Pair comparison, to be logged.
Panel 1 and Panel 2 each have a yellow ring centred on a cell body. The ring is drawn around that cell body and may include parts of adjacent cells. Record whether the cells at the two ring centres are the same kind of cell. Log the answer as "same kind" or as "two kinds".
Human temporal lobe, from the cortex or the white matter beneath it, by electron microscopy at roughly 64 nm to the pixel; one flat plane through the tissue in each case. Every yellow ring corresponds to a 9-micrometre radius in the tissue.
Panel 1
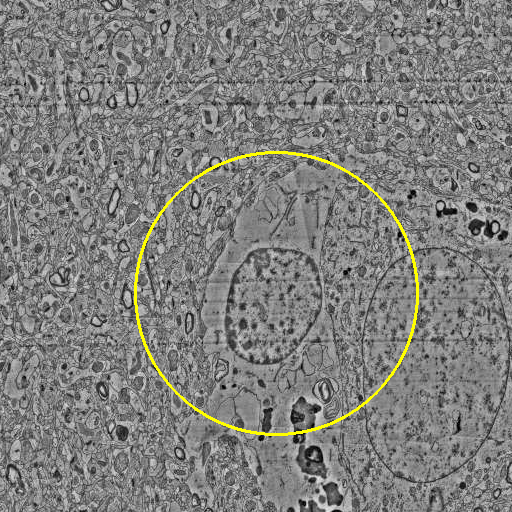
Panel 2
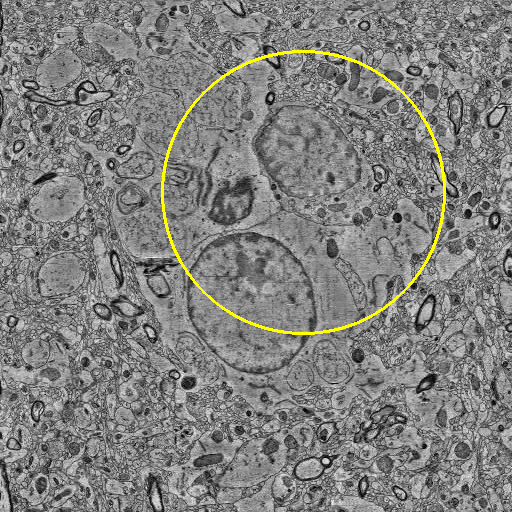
two kinds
